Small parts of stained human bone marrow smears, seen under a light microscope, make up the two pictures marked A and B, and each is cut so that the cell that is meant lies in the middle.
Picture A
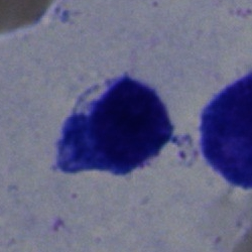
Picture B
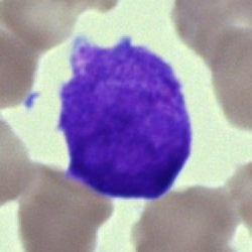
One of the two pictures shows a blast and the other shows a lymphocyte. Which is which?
A: lymphocyte
B: blast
